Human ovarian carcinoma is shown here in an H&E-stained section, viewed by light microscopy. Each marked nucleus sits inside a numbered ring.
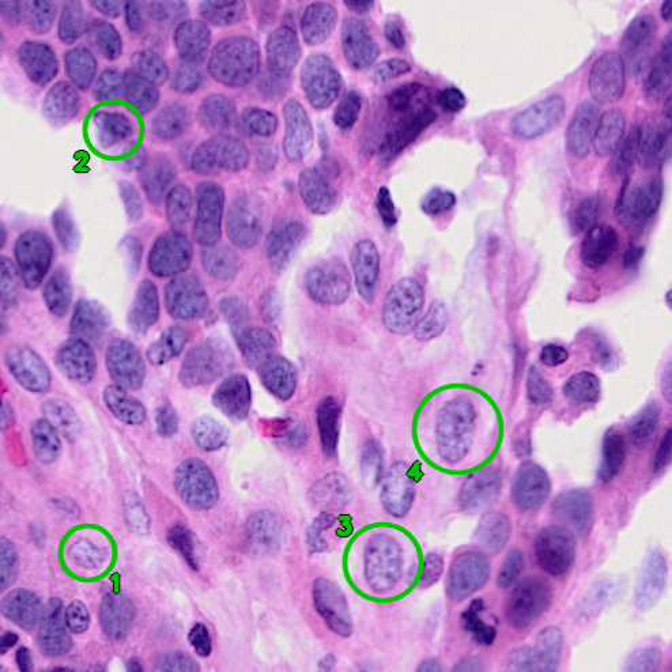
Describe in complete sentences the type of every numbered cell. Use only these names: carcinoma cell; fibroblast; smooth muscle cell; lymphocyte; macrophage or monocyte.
Cells 1, 3 and 4 are fibroblasts. Cell 2 is a carcinoma cell.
